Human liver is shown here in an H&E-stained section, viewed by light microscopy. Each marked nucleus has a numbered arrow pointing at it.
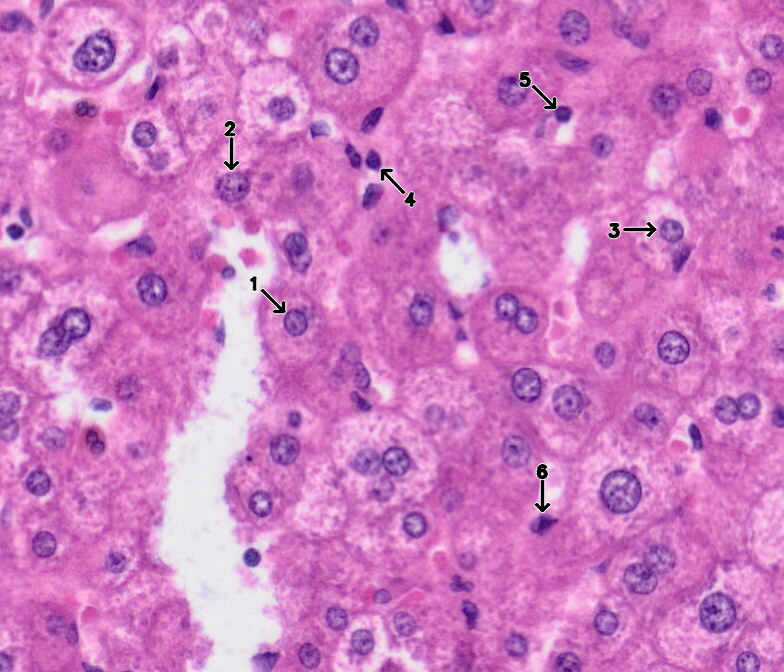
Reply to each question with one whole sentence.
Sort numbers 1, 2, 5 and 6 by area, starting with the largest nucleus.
By area, largest first, they run 2, 1, 6, 5.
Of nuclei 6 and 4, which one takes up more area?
It is nucleus 6, which covers about 1.5 times the area of nucleus 4.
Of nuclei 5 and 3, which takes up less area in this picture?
The smaller nucleus is 5, and 3 covers roughly 2 times its area.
